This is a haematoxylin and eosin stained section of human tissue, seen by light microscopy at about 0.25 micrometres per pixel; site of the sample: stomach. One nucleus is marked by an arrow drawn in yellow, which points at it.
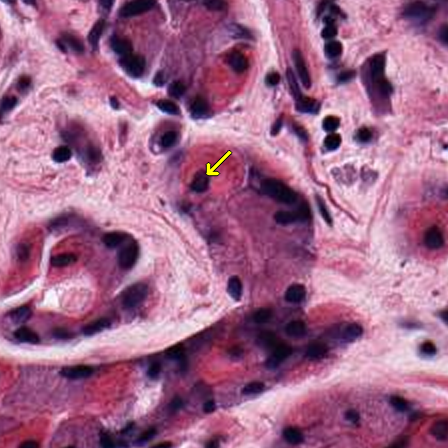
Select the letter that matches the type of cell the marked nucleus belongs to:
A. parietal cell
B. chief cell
A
